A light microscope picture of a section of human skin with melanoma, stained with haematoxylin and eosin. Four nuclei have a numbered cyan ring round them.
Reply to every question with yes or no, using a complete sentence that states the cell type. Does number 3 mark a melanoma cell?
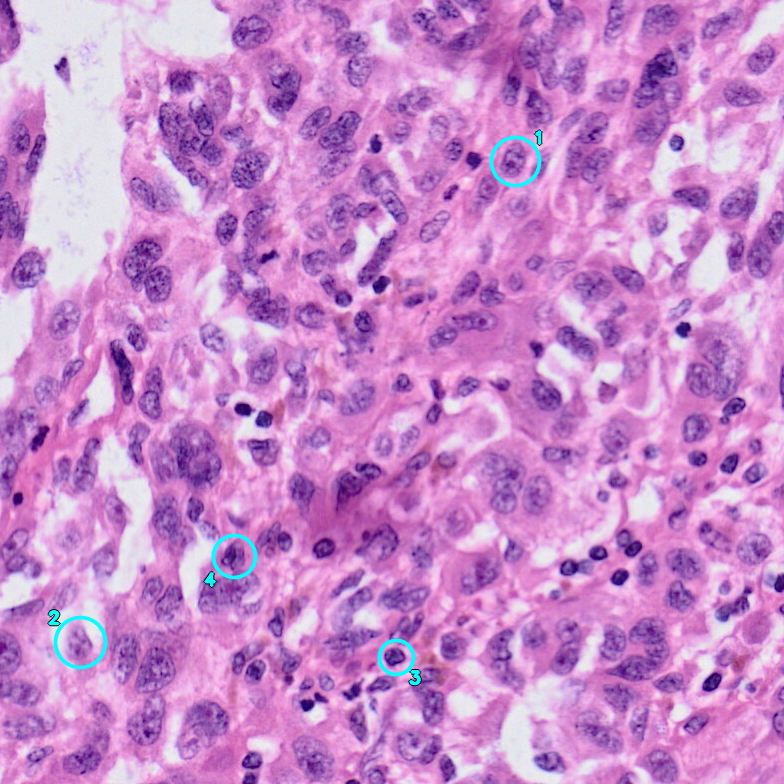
No, it's not a melanoma cell at number 3; that cell is a lymphocyte.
